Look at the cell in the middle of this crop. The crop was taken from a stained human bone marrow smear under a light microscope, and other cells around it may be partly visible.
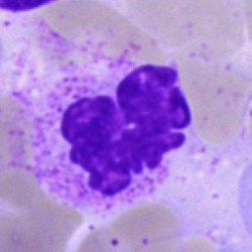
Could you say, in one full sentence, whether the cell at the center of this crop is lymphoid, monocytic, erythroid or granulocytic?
The cell occupying the middle of the crop is classified within the granulocytic lineage.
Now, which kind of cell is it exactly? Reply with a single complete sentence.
The cell around which this crop is centred is a segmented neutrophil.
